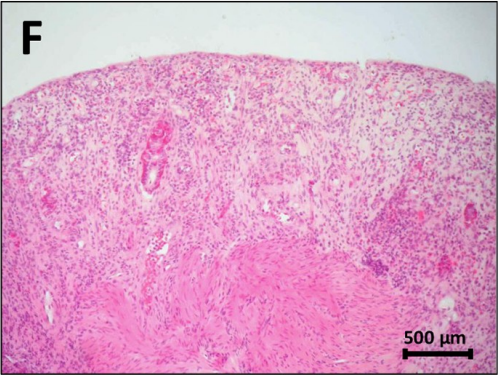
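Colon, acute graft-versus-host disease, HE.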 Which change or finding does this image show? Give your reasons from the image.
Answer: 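No surface epithelium lines the tissue. Almost no crypts remain; the surface is inflamed cellular tissue above pink muscle.
Diffuse mucosa denudation.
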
